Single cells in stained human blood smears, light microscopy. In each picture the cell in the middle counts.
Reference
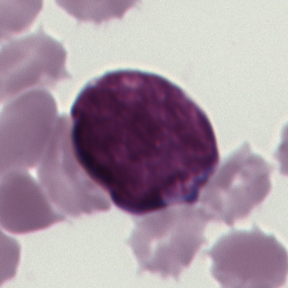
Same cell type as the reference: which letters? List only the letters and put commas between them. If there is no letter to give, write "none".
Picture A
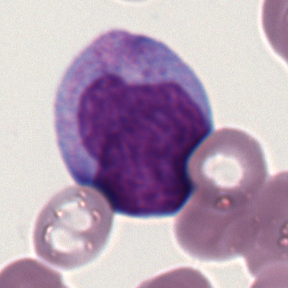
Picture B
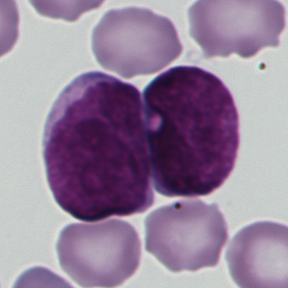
B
